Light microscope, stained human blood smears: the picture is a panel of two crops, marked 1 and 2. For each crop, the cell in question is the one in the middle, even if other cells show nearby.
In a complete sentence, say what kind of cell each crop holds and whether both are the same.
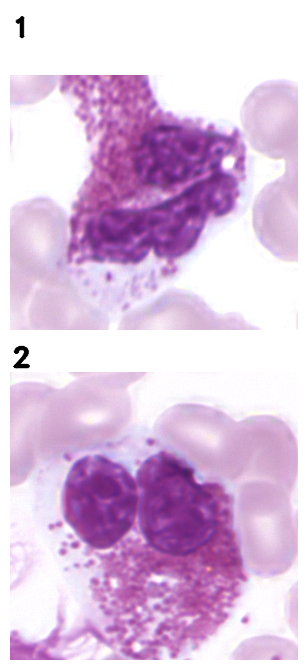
Yes, the two central cells, one per crop, are eosinophils.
